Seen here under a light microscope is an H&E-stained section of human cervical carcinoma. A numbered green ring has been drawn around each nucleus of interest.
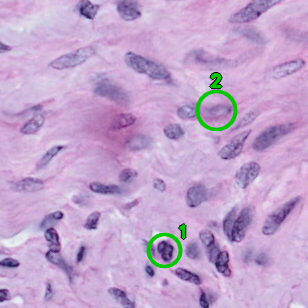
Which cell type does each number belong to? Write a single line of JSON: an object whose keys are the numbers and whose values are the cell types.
{"1": "lymphocyte", "2": "smooth muscle cell"}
